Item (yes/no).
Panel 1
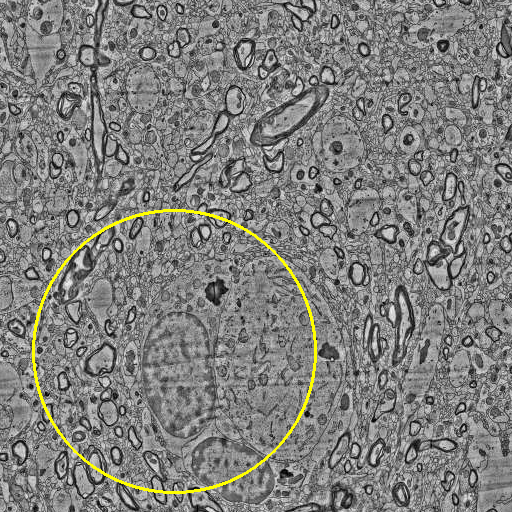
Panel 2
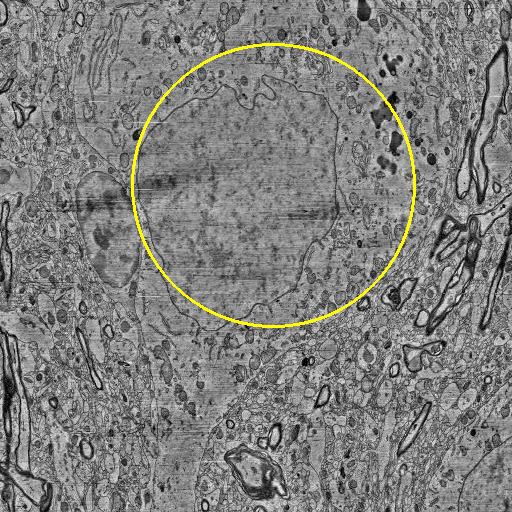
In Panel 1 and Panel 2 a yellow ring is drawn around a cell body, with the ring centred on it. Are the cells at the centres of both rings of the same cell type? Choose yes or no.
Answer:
no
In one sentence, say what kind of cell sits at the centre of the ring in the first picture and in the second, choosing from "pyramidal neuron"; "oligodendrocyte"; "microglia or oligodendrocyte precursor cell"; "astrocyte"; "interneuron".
The first picture's ringed cell is an oligodendrocyte, while the second picture's is a pyramidal neuron.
